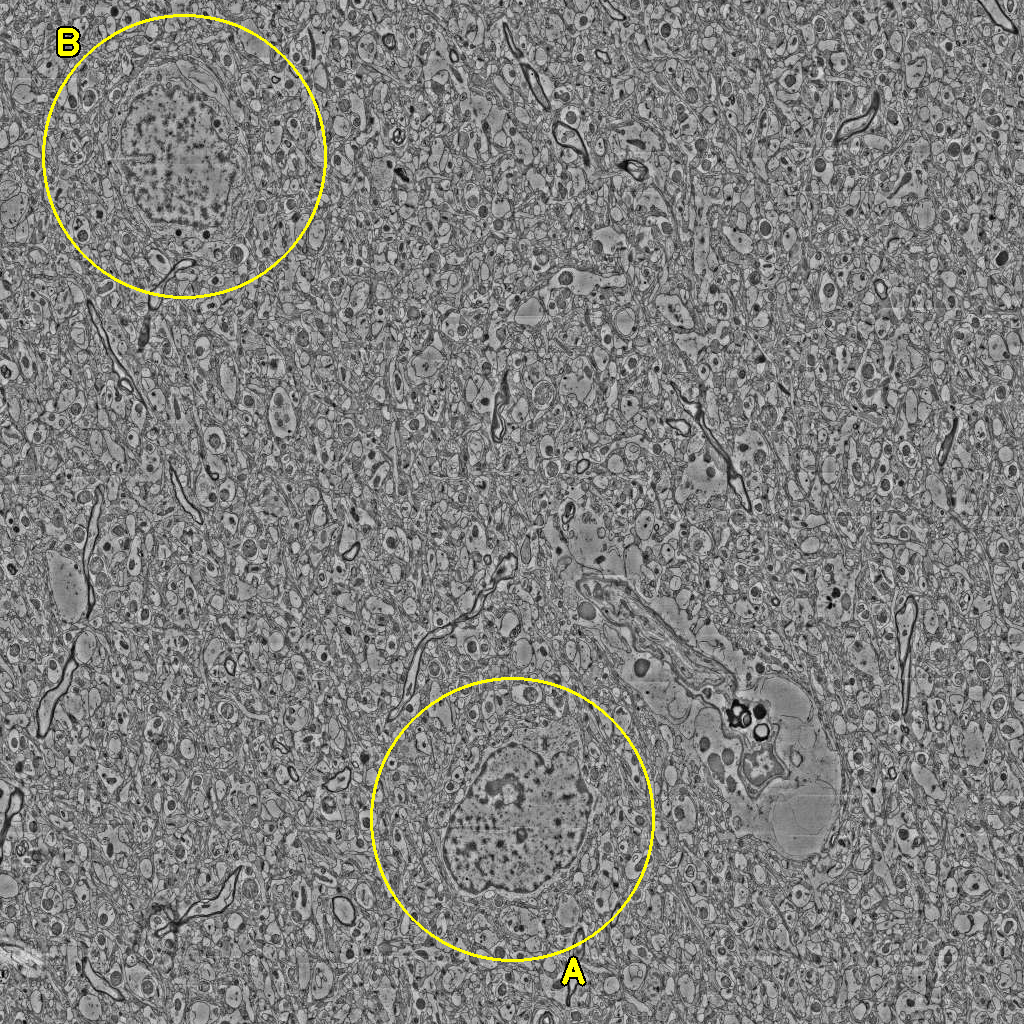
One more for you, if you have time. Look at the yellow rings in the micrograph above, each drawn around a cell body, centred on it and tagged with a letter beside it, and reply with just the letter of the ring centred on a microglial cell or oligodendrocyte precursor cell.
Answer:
A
